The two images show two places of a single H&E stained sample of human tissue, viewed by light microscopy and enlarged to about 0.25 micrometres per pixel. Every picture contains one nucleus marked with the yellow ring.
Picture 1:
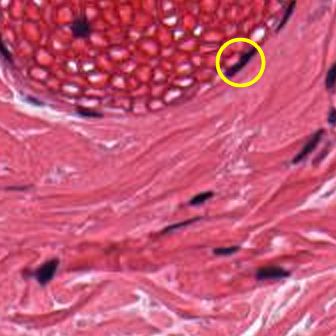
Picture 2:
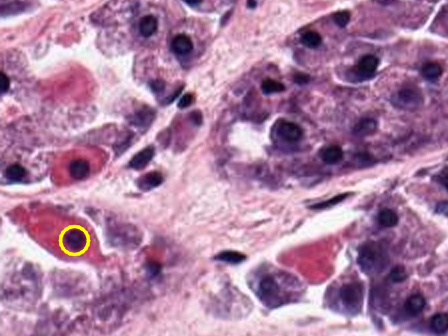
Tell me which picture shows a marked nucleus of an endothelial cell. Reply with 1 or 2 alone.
1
